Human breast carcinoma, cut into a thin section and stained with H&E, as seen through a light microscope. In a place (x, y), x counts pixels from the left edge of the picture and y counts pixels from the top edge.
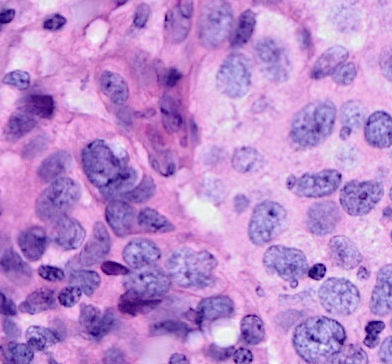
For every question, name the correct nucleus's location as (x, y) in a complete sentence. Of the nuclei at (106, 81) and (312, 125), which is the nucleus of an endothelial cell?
The pair contains one nucleus of an endothelial cell, namely the one at (106, 81).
